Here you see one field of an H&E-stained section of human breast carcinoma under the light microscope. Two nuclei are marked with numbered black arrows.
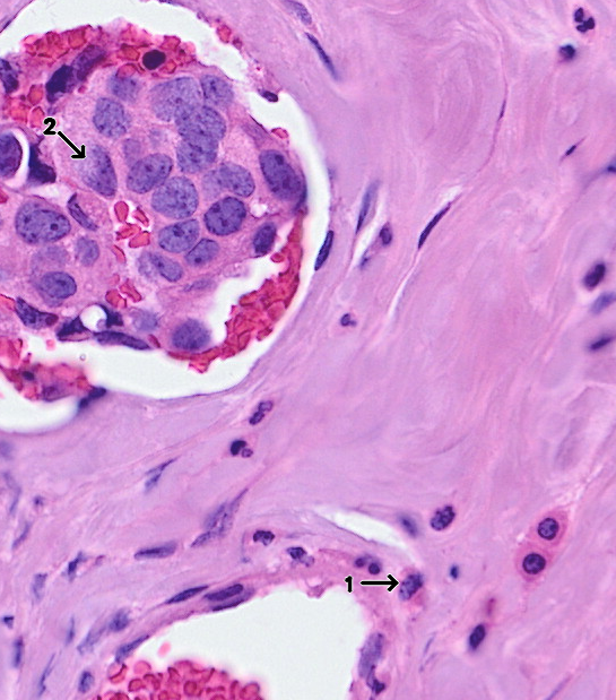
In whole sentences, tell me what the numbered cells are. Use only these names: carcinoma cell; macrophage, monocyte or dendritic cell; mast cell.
Cell 1 is a mast cell. Cell 2 is a carcinoma cell.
